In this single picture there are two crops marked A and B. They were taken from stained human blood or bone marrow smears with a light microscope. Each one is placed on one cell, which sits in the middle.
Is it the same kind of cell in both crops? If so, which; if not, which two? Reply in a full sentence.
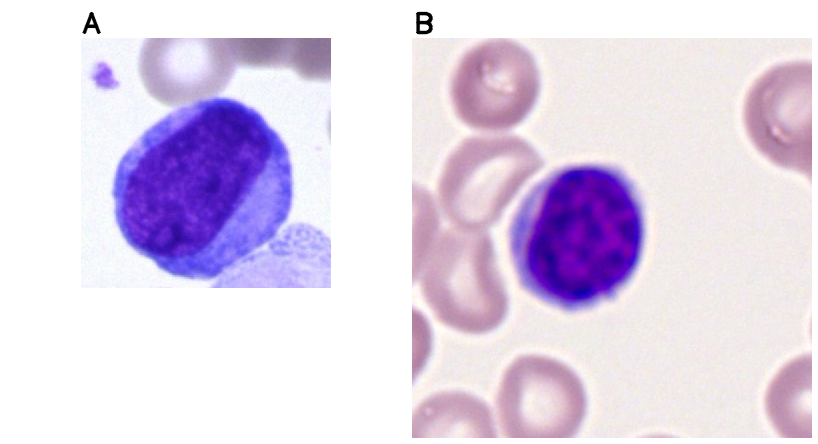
No, crop A is of a blast, and crop B is of a lymphocyte.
